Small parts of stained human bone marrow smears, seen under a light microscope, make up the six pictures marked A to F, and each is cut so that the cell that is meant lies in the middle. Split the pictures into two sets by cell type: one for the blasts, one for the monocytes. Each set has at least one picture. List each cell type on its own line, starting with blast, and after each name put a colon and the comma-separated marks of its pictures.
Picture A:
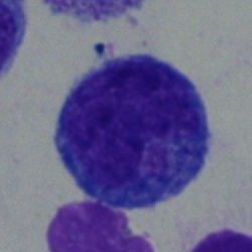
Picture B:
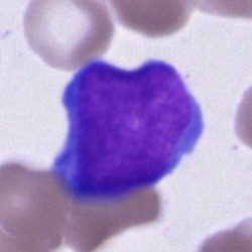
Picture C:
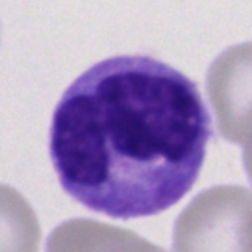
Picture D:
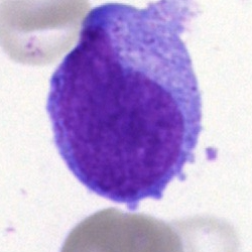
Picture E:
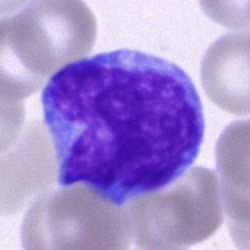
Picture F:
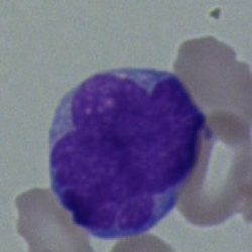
blast: A, B, D, F
monocyte: C, E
